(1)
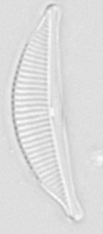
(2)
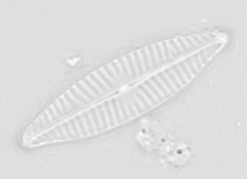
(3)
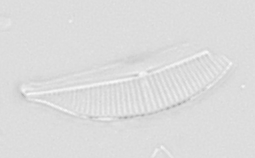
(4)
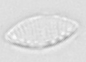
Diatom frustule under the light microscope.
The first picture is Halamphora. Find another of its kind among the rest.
Picture 3.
